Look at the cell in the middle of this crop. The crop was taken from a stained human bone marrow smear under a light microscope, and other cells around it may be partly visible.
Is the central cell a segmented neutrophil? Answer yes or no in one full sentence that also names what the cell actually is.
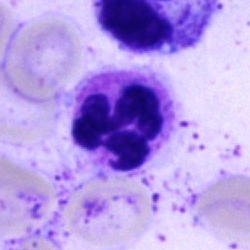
Yes, the central cell here is a segmented neutrophil.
